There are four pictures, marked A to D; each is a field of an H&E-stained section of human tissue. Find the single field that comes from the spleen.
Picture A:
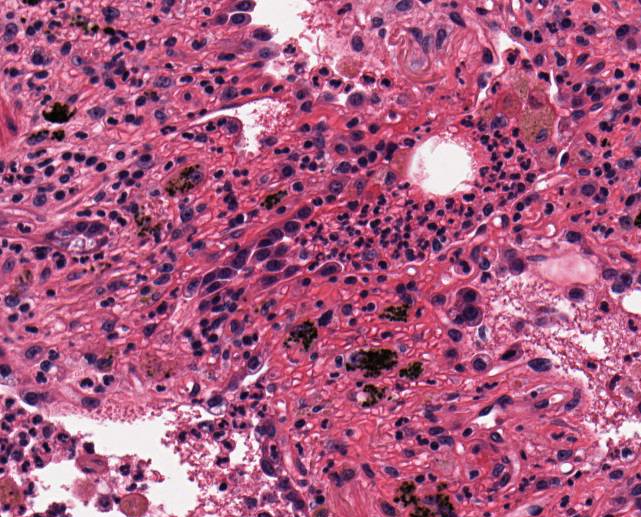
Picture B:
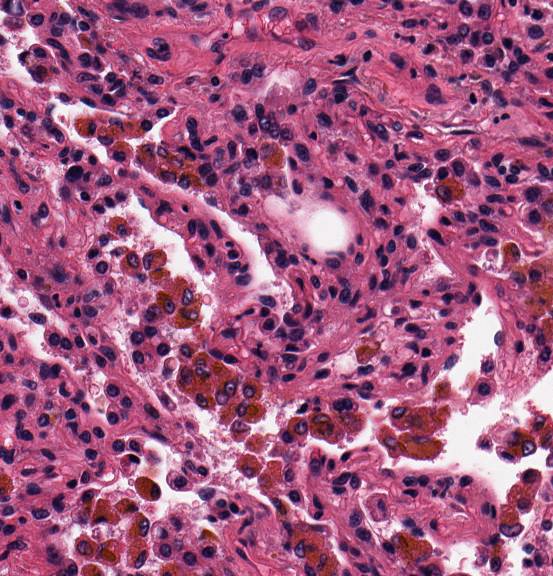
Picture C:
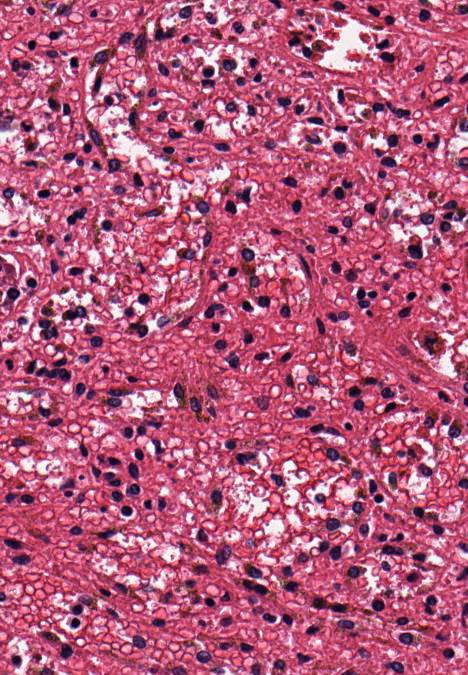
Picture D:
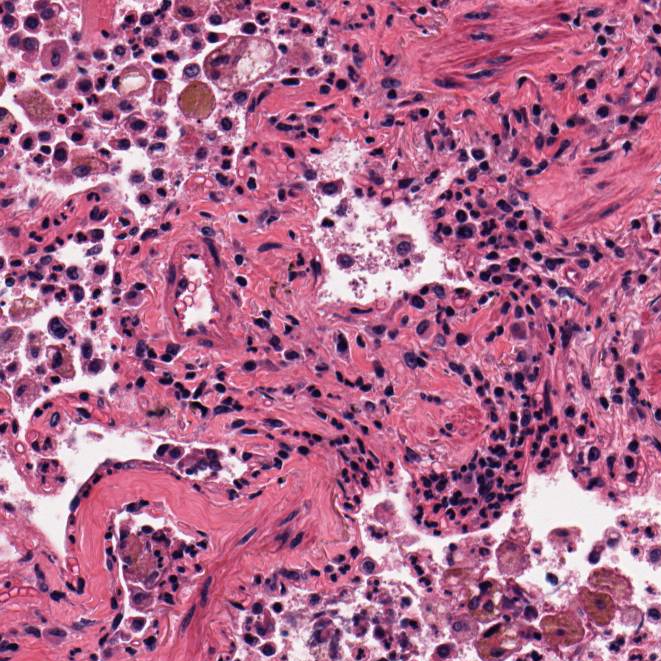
C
